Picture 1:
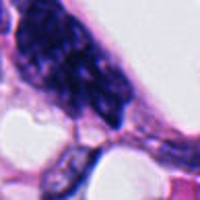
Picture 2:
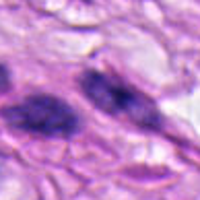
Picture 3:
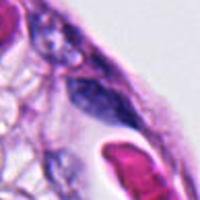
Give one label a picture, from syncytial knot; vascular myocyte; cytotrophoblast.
Picture 1: syncytial knot
Picture 2: vascular myocyte
Picture 3: cytotrophoblast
